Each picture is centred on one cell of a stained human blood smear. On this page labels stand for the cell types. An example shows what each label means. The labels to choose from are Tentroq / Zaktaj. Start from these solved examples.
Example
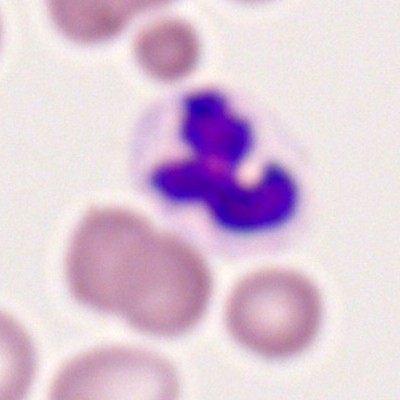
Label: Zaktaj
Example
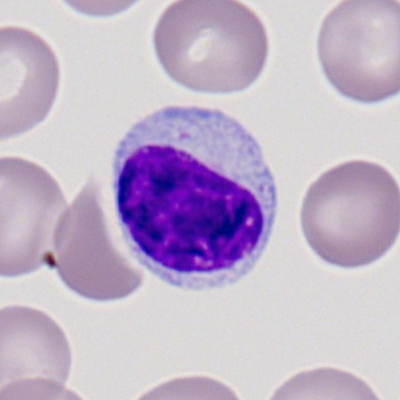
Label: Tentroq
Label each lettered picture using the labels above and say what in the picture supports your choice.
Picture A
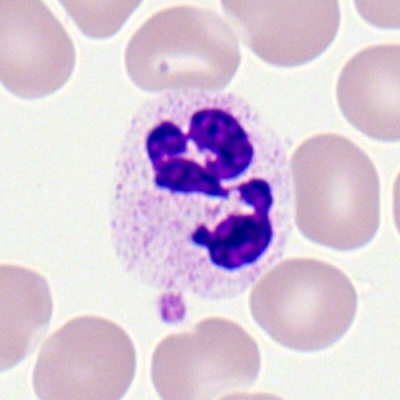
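Zaktaj. Reason: The nucleus is divided into several separate-looking lobes.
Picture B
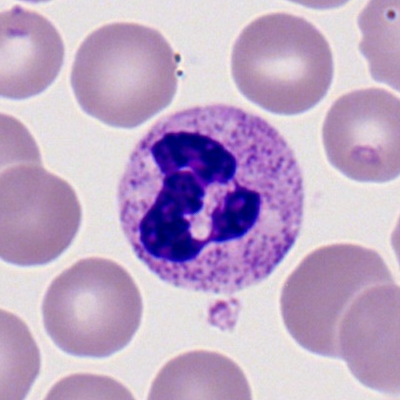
Zaktaj. Reason: The cytoplasm is abundant and pale pinkish-lilac.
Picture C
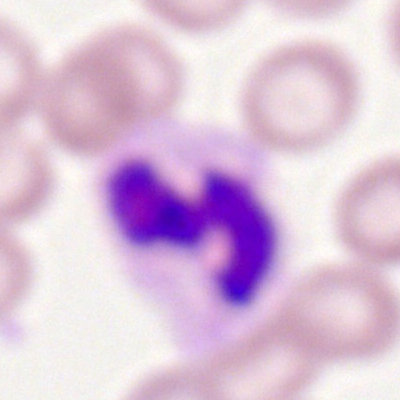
Zaktaj. Reason: The cytoplasm is plentiful and pale pinkish-lilac.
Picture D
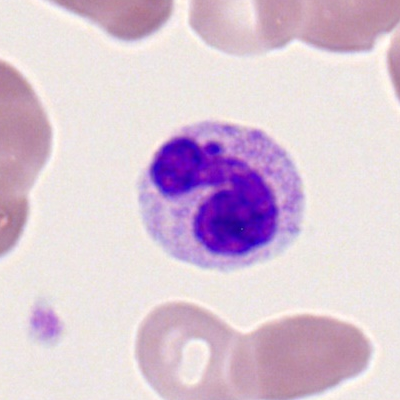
Zaktaj. Reason: The cytoplasm is plentiful and pale pinkish-lilac.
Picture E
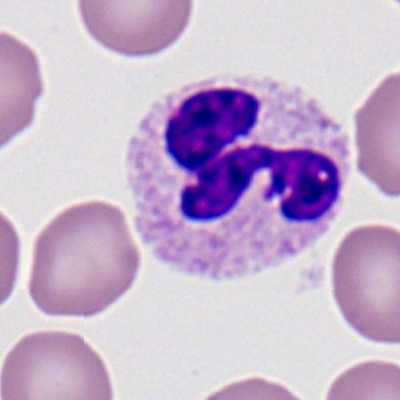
Zaktaj. Reason: The nucleus is divided into three lobes.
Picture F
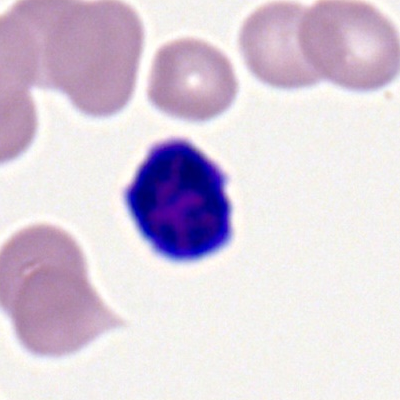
Tentroq. Reason: The nucleus is a single unlobed mass filling almost the whole cell.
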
